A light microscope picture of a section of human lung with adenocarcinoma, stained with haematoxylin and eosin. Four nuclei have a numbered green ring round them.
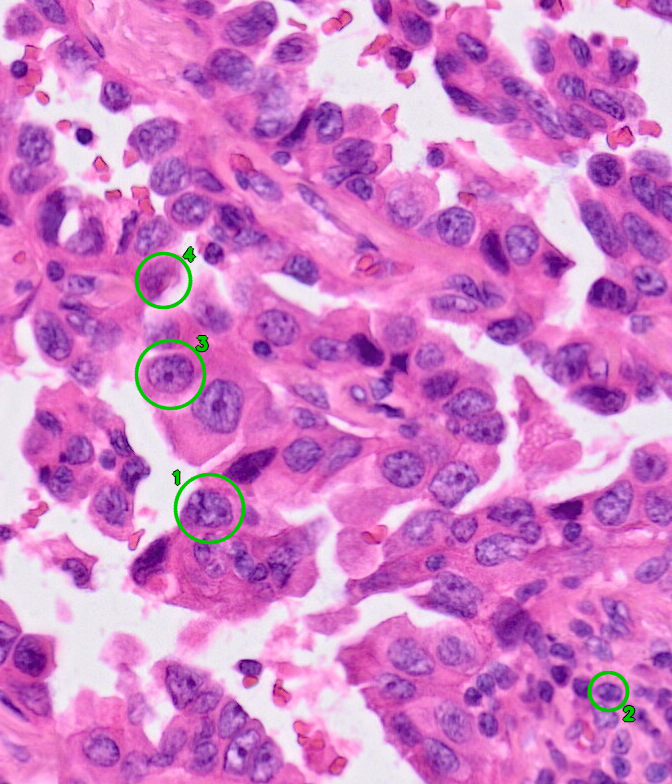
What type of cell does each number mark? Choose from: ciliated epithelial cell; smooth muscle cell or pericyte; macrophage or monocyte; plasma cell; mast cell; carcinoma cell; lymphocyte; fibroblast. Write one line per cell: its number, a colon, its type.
1: carcinoma cell
2: lymphocyte
3: carcinoma cell
4: carcinoma cell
